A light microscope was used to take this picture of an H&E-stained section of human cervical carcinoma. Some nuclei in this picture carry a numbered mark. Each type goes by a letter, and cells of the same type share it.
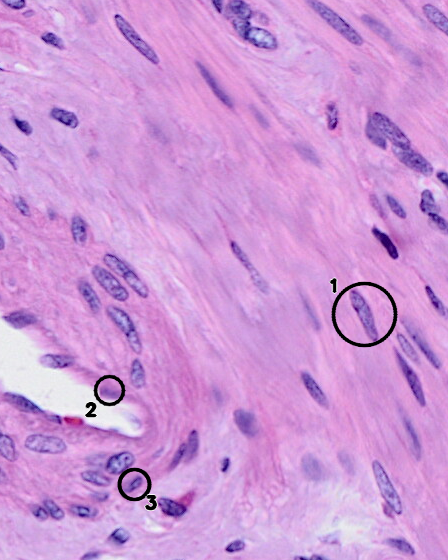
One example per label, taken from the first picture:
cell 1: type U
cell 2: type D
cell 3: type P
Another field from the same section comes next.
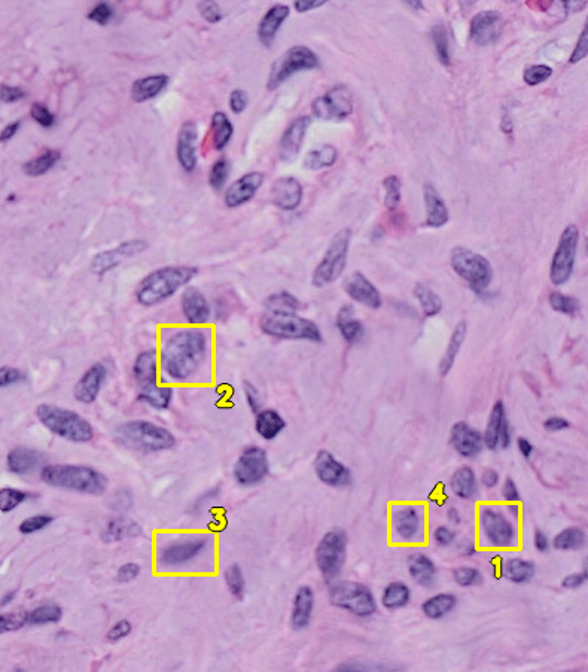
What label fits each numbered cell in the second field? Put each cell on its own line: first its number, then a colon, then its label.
1: type P
2: type D
3: type U
4: type P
